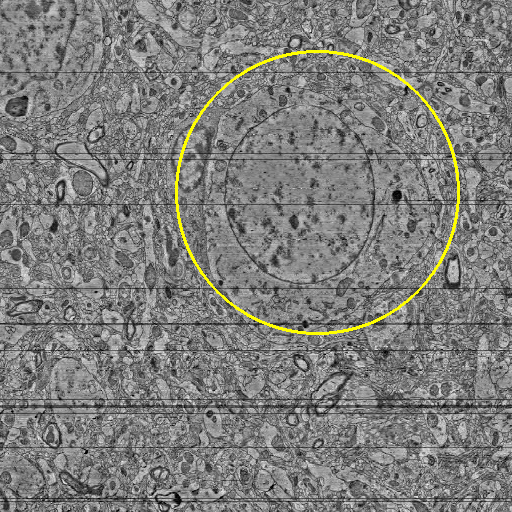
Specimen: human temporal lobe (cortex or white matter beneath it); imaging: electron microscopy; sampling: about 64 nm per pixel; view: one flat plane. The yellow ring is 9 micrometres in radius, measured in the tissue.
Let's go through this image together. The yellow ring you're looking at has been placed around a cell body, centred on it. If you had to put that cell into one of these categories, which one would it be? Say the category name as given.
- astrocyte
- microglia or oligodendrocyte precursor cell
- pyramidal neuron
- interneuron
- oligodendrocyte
pyramidal neuron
